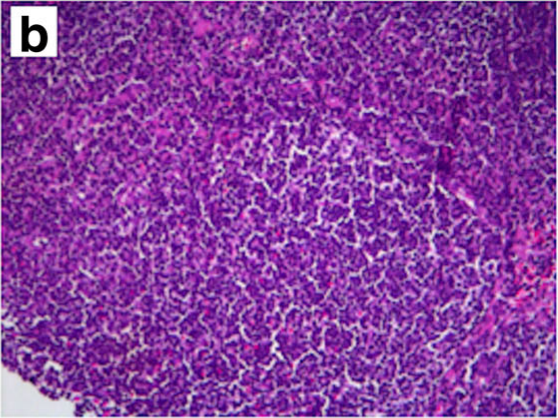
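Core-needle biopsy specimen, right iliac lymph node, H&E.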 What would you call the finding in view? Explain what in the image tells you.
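Densely packed small round dark purple nuclei fill the field. On this evidence: a uniform, small size, cell population.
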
